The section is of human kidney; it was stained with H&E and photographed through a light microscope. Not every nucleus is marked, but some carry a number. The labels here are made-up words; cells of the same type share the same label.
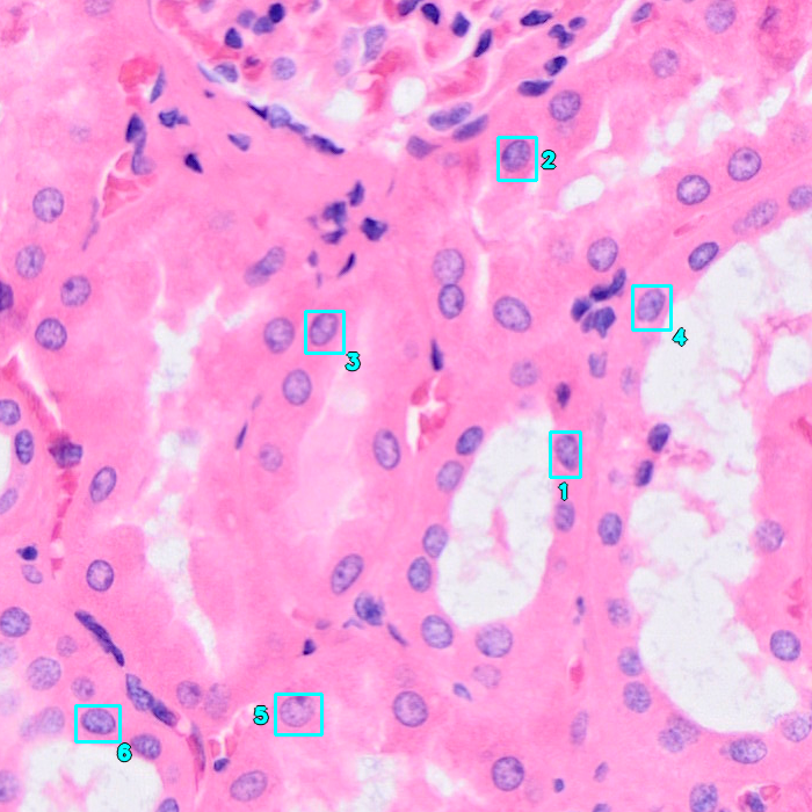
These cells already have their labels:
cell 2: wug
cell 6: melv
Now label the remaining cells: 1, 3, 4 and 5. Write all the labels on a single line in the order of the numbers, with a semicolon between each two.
melv; wug; melv; wug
